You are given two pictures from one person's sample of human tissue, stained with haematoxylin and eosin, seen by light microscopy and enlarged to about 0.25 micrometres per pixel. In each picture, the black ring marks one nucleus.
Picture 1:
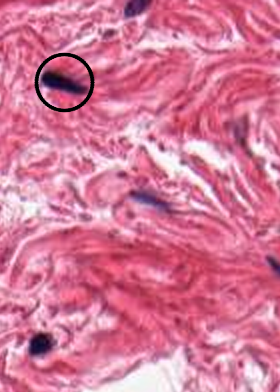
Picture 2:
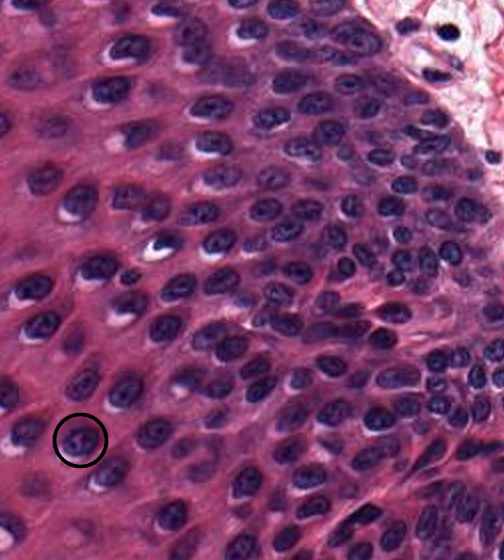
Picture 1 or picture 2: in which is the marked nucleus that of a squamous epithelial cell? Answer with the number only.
2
